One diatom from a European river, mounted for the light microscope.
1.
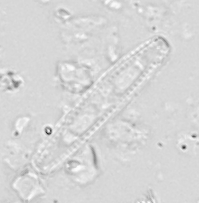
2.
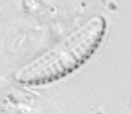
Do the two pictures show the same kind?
No: Nitzschia, then Amphora.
